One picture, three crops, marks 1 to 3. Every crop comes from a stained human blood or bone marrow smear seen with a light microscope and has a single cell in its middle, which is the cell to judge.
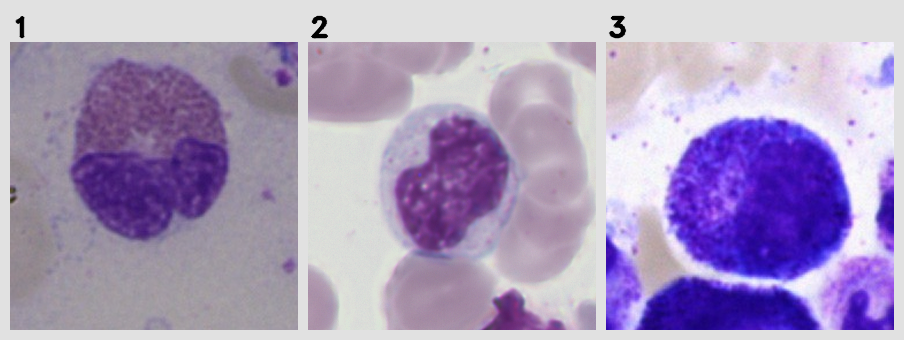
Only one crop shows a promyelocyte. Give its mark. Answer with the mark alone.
3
